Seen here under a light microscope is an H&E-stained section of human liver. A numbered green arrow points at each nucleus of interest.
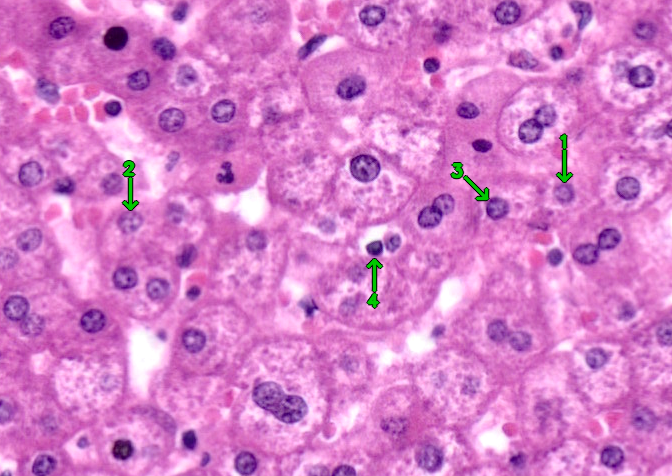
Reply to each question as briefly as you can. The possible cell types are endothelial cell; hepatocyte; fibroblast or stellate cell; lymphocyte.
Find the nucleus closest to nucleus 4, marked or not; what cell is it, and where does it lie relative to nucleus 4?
a lymphocyte, to the right of nucleus 4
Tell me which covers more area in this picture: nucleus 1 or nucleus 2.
2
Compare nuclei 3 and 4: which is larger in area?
3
